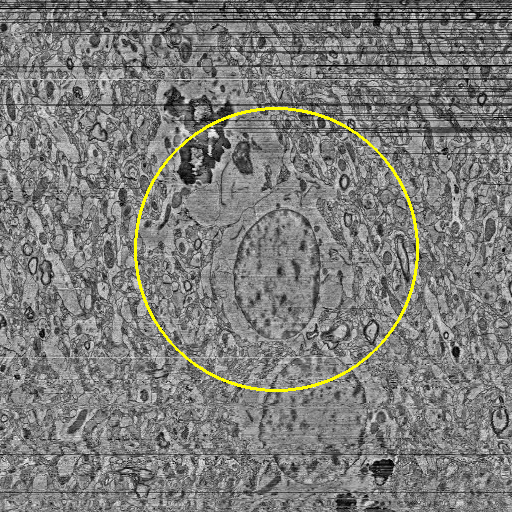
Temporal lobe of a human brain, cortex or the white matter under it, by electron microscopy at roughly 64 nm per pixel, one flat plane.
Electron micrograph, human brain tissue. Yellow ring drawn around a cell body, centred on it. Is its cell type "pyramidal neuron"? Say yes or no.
no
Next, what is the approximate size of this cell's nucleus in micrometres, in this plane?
The nucleus is about 9 micrometres in length and 6 in width, clearly longer than it is wide in this plane.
